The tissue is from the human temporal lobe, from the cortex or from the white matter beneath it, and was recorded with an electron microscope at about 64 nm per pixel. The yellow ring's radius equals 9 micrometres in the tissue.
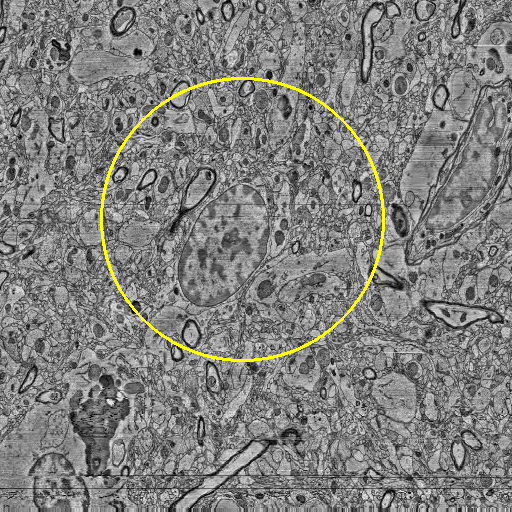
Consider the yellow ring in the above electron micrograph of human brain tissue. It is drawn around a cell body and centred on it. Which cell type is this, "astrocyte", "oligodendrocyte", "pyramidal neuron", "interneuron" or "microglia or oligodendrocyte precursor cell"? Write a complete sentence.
The cell in question is a microglial cell or oligodendrocyte precursor cell.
